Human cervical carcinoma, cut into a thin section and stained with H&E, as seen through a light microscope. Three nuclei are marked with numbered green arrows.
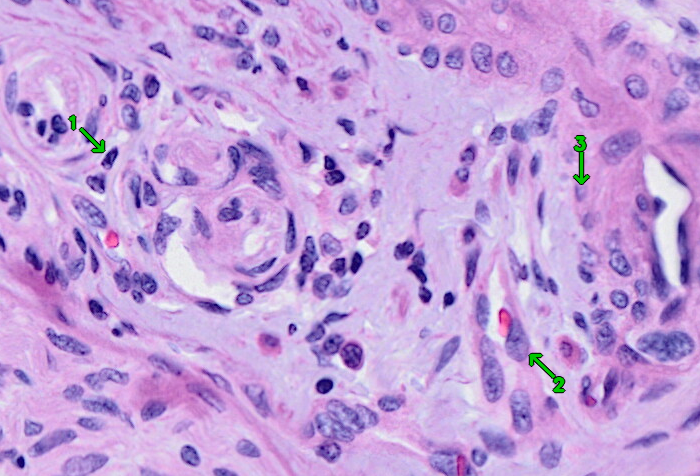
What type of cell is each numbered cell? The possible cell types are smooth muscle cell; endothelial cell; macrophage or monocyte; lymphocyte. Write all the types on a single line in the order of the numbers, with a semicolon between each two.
lymphocyte; endothelial cell; smooth muscle cell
